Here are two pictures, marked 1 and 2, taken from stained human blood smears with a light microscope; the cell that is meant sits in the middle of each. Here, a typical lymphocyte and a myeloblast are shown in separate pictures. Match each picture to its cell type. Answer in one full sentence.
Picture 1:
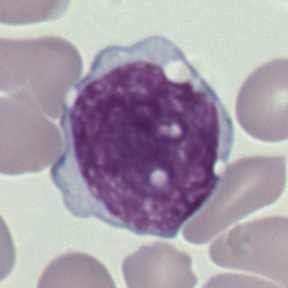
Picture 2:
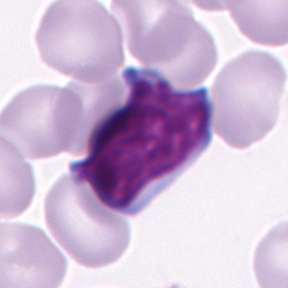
Picture 1 is of a myeloblast, and picture 2 is of a typical lymphocyte.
